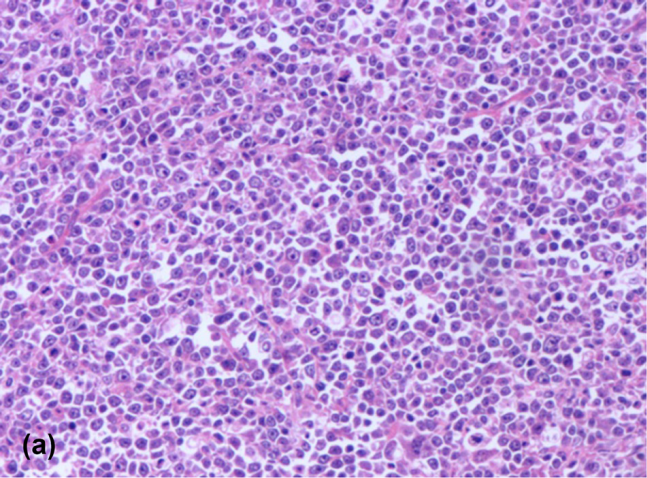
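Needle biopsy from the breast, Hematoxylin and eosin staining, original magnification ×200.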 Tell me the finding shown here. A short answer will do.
diffuse and patchy appearance of the tumor cells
